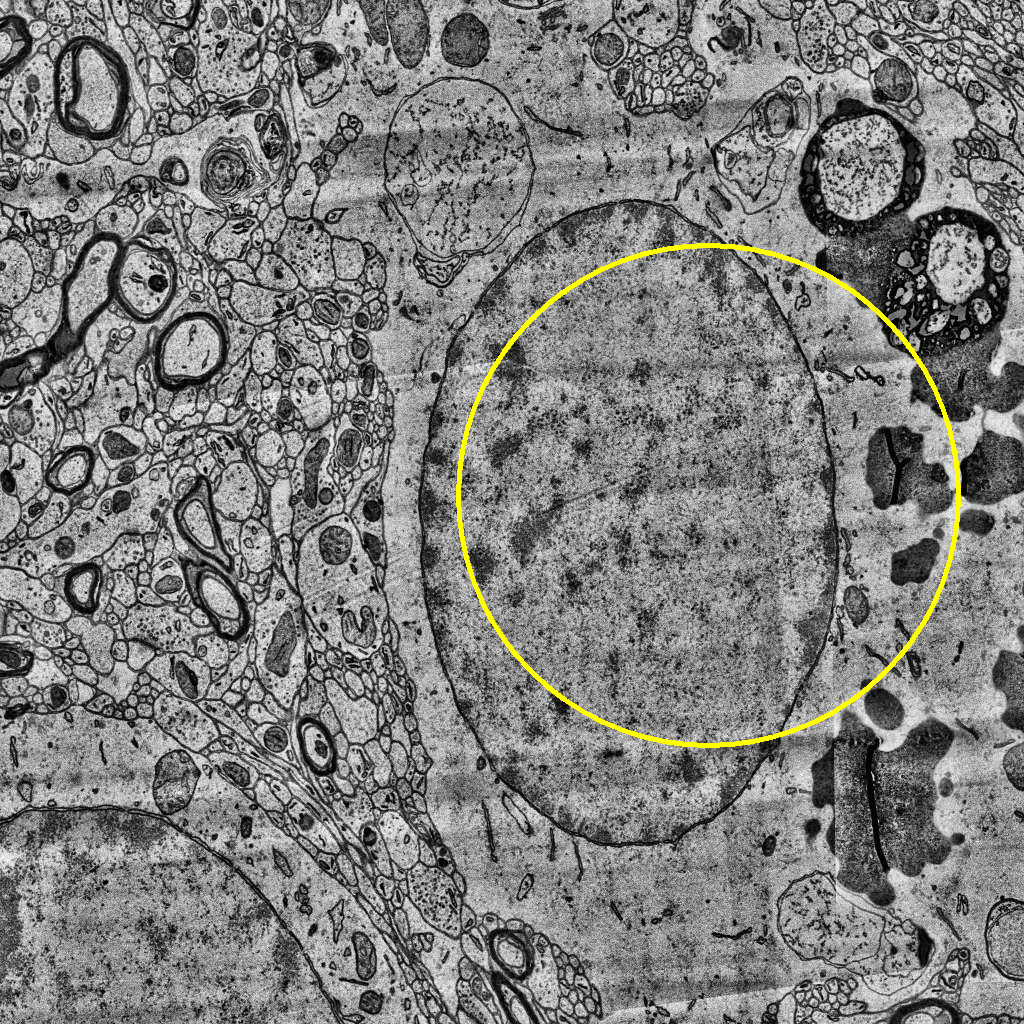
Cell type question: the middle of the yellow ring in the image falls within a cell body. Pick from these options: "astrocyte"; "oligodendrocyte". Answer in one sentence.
The cell body at the center of the ring belongs to an astrocyte.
